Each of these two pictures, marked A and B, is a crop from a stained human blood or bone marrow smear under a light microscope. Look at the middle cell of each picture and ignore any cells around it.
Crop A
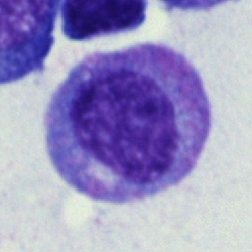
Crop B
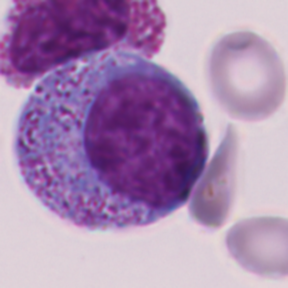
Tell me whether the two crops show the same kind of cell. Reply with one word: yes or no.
yes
